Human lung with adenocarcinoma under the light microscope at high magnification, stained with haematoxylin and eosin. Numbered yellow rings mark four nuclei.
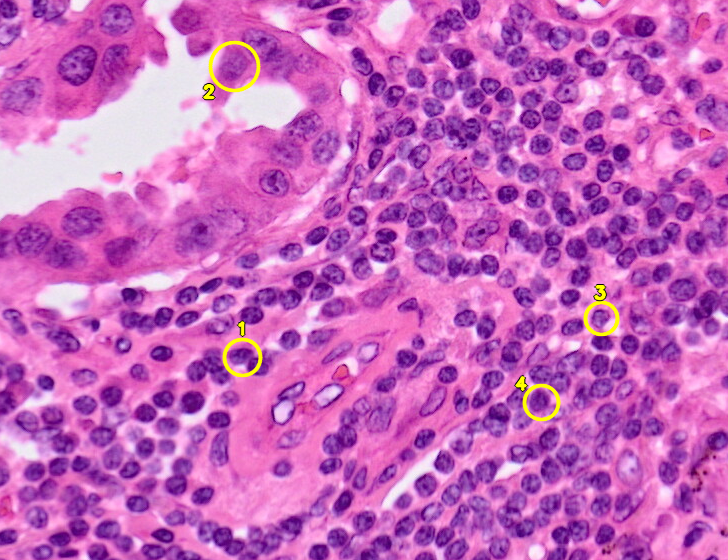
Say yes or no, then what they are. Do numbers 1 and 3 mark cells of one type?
Yes, cells 1 and 3 are both classed as lymphocytes.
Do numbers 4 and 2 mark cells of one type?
No, the cell at number 4 is a lymphocyte, and the cell at number 2 is a carcinoma cell.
